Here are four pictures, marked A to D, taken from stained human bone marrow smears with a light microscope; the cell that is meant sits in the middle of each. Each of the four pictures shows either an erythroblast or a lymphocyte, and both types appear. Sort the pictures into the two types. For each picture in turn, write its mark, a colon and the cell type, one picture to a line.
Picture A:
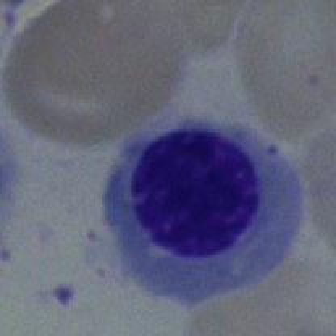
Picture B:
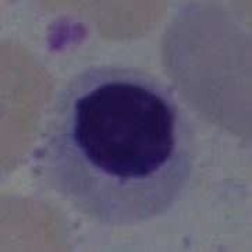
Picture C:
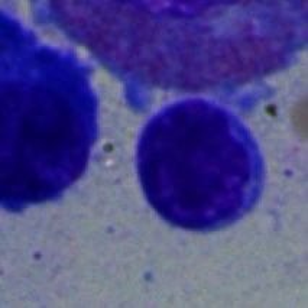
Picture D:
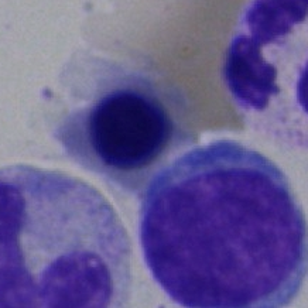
A: erythroblast
B: erythroblast
C: lymphocyte
D: erythroblast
